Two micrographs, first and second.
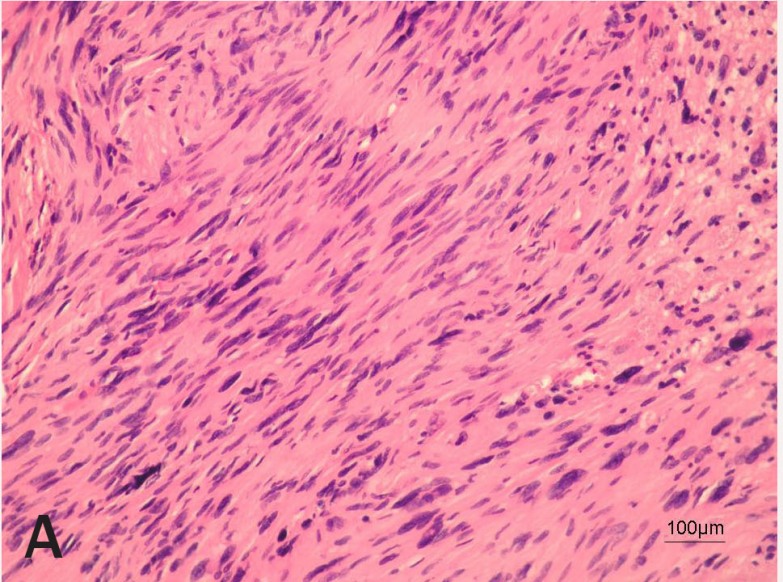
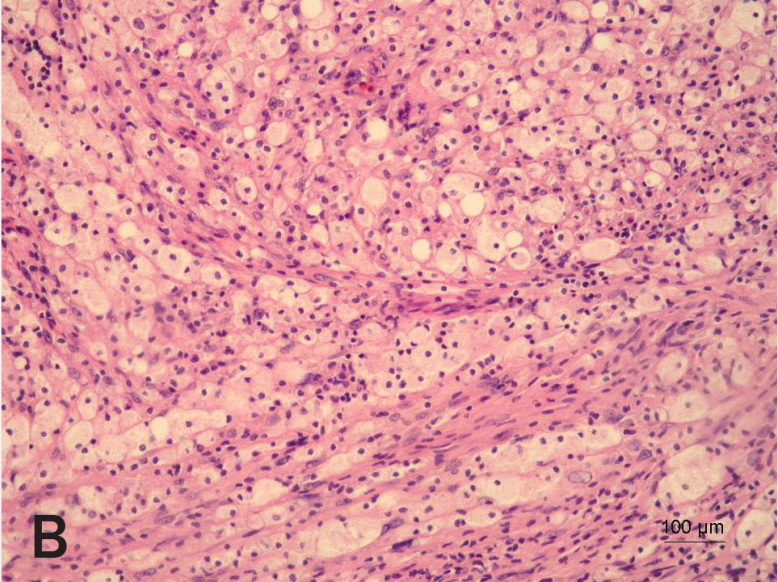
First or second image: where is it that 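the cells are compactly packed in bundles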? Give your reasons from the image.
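Second image: cells are loosely spaced, many rounded with pale vacuolated cytoplasm. First image: elongated cells lie tightly packed in parallel streams.
Conclusion: the first image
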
